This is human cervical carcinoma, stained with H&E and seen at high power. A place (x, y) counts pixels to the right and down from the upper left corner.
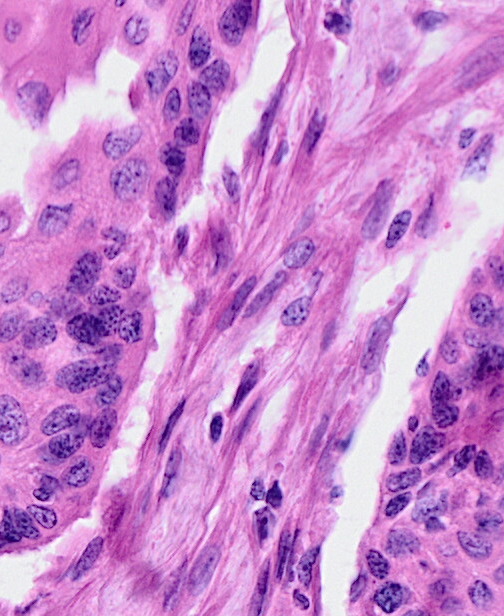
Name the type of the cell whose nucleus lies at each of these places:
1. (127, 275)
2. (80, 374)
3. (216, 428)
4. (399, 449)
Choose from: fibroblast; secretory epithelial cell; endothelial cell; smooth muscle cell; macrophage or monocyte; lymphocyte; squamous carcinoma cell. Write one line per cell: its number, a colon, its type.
1: squamous carcinoma cell
2: squamous carcinoma cell
3: lymphocyte
4: squamous carcinoma cell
